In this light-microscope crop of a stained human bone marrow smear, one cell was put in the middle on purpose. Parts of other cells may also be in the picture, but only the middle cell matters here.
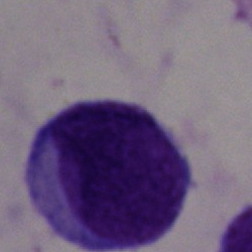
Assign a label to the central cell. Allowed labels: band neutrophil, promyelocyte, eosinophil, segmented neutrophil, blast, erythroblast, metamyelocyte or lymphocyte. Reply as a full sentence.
The crop shows a blast in its centre.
